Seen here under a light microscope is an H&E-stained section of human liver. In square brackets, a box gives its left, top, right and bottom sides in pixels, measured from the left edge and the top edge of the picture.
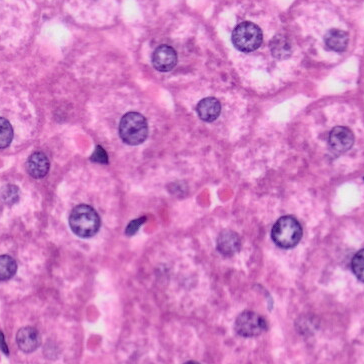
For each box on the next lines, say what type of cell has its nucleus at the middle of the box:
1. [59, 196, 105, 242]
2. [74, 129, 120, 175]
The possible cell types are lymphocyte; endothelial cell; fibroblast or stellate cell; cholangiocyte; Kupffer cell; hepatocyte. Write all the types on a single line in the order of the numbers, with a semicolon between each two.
hepatocyte; fibroblast or stellate cell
